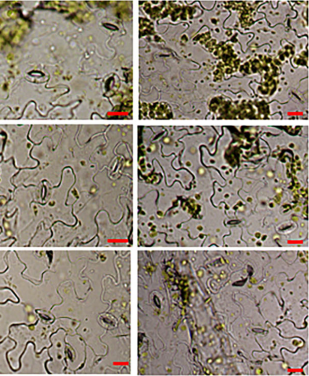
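The stomata lie singly among larger pavement cells whose walls are wavy and interlock like pieces of a jigsaw puzzle. The cells are largely colourless and pale. In some images many small round green bodies lie scattered over the field, and some parts look denser and darker, crowding the outlines of the surface cells. The pores are more or less open, from a visible gap to a closed slit.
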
